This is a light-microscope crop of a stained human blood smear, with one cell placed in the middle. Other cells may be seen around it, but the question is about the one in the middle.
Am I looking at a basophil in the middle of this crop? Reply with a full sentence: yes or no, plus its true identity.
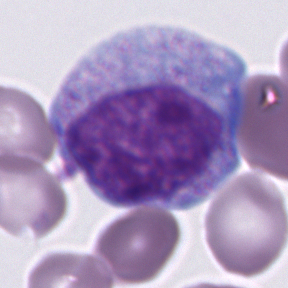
No, mark the middle cell as a promyelocyte, not a basophil.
